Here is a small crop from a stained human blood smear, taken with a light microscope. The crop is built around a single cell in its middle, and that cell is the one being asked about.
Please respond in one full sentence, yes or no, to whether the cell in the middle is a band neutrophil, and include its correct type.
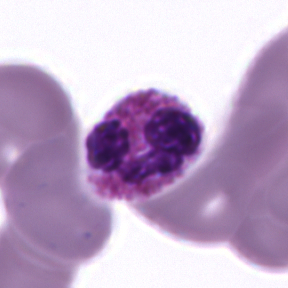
No, instead of a band neutrophil, the middle cell is an eosinophil.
